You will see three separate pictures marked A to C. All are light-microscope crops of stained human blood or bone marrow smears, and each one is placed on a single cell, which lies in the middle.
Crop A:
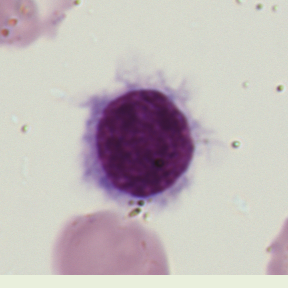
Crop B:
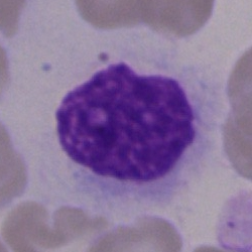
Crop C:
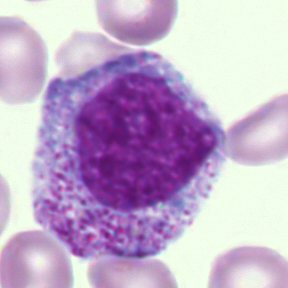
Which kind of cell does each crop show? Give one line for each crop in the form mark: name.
A: hairy cell
B: hairy cell
C: promyelocyte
